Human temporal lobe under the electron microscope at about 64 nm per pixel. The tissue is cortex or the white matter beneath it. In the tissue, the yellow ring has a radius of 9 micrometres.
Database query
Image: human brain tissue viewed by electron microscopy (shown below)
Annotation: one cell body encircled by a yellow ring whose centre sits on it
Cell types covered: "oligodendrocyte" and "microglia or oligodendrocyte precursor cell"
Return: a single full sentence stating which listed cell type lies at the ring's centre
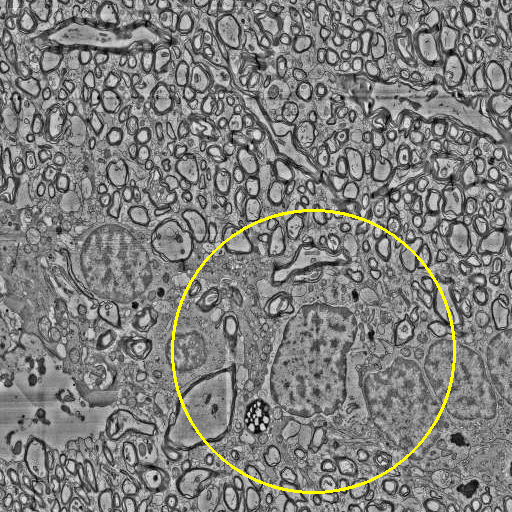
In the image, the cell lying at the ring's centre is a microglial cell or oligodendrocyte precursor cell.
